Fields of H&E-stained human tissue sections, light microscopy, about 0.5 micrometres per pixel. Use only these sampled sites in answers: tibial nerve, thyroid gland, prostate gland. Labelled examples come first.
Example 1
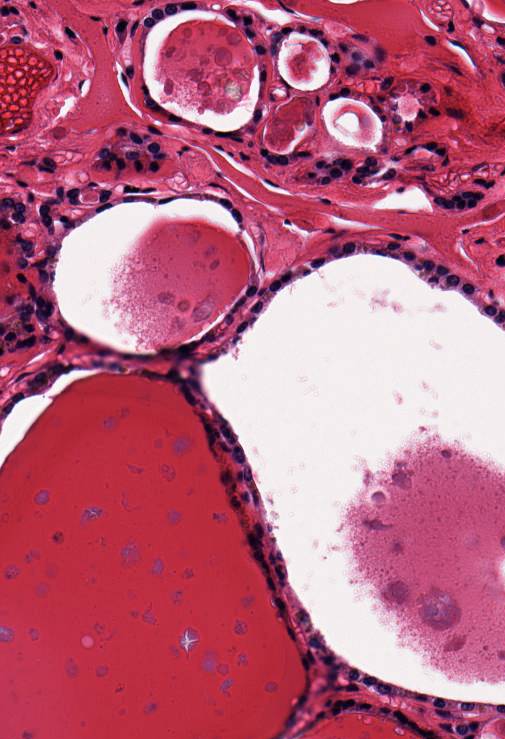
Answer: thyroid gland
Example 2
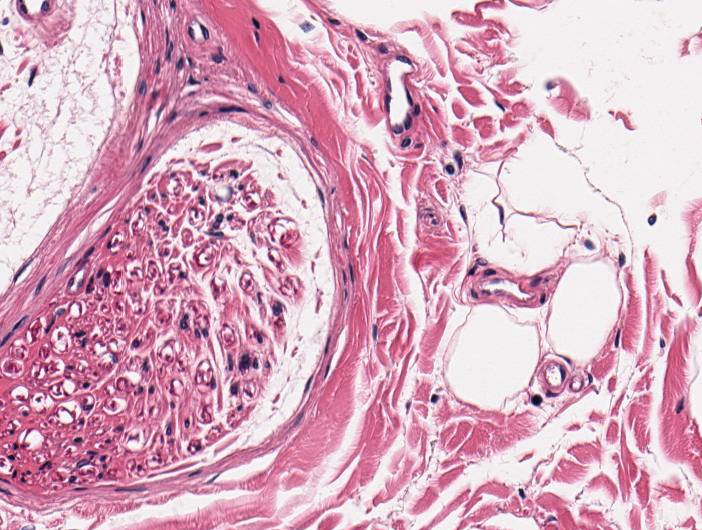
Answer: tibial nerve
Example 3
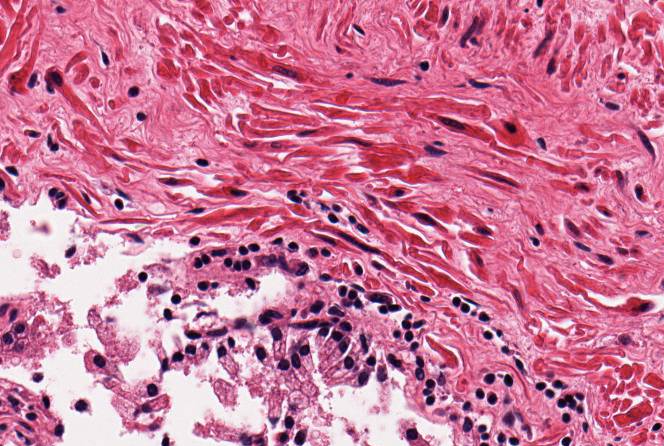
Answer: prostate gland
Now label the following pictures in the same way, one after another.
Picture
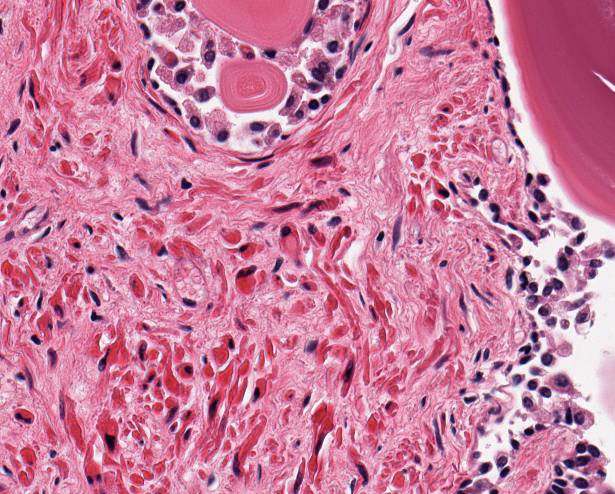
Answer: prostate gland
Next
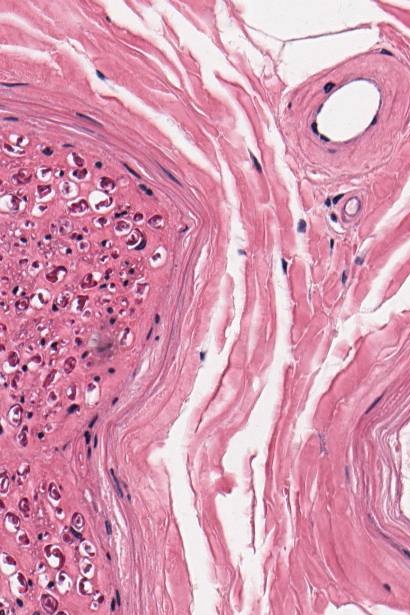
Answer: tibial nerve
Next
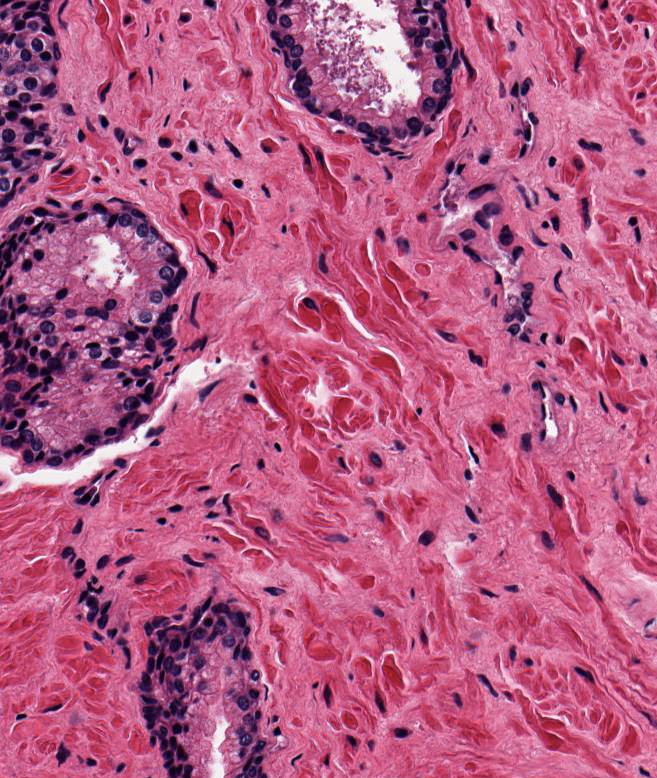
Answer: prostate gland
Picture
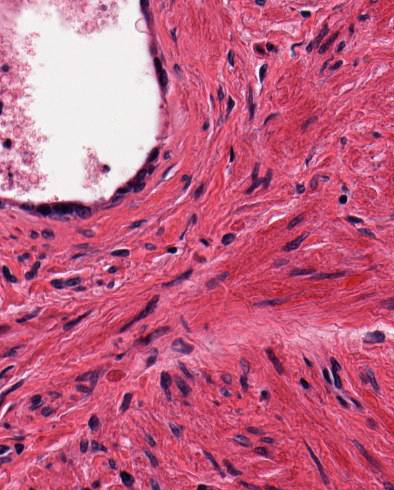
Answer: prostate gland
